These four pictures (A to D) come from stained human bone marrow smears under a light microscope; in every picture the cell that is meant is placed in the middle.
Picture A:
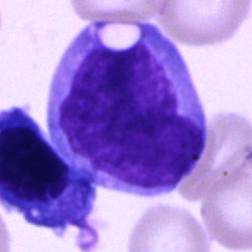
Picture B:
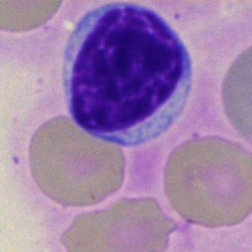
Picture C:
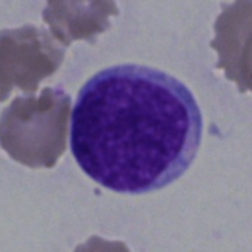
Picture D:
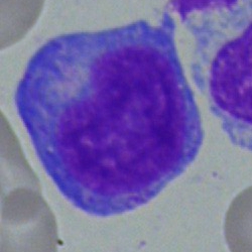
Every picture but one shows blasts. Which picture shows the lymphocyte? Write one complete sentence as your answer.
It is picture B that shows the lymphocyte.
